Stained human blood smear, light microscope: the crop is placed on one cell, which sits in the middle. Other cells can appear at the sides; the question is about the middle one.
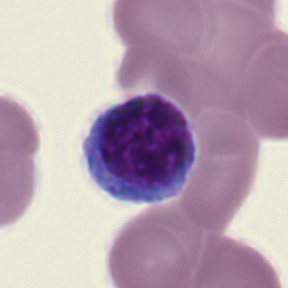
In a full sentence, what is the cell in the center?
The middle of this crop is occupied by a plasma cell.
